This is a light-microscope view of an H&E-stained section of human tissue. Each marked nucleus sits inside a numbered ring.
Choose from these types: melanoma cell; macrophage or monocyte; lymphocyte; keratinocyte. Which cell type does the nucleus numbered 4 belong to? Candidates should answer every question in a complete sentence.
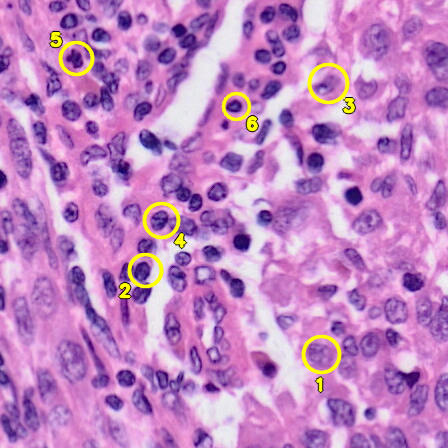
Of the numbered cells, the one labelled 4 is a lymphocyte.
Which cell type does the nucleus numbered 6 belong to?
In the marked set, the cell given number 6 is a lymphocyte.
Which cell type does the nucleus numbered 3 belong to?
The cell that is numbered 3 is a macrophage or monocyte.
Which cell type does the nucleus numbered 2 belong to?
The cell that bears the number 2 is a lymphocyte.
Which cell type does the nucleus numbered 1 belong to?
The mark numbered 1 indicates the nucleus of a melanoma cell.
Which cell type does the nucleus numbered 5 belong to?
That cell with number 5 is a lymphocyte.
